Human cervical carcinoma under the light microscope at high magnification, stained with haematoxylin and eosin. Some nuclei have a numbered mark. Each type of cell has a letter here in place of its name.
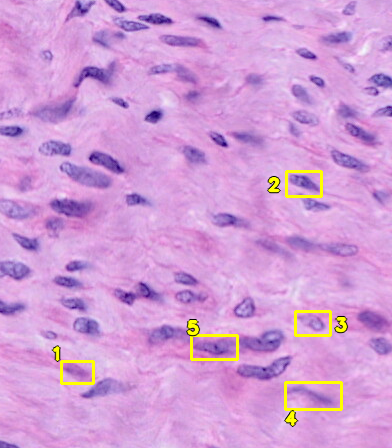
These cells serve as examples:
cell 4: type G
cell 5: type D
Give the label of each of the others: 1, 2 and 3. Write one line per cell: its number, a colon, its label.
1: type D
2: type G
3: type D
